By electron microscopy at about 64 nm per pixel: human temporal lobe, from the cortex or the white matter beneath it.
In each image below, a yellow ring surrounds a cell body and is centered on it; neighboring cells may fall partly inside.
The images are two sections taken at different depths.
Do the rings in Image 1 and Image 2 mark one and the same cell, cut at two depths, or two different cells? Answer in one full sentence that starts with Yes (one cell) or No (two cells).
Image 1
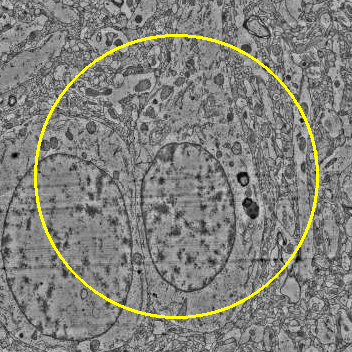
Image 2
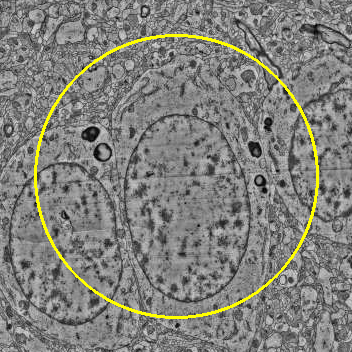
Yes, the same individual cell is enclosed by both rings.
